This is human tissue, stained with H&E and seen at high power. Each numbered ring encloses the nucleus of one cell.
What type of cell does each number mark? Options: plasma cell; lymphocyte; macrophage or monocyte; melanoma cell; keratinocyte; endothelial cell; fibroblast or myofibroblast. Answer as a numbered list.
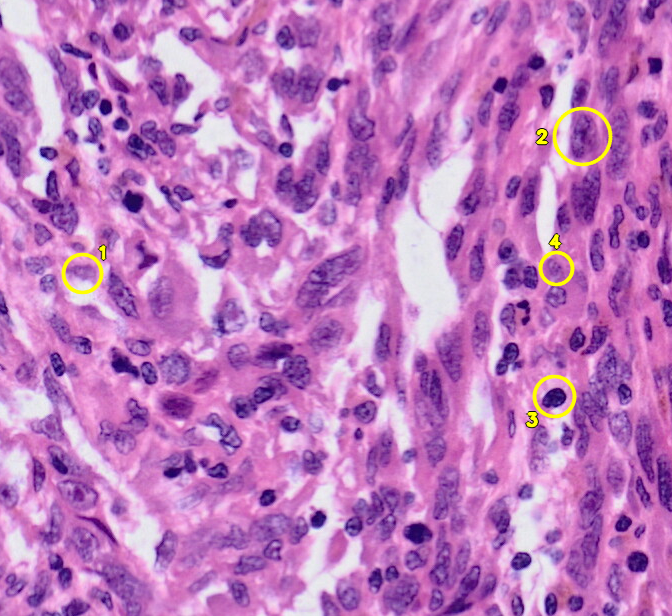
1. melanoma cell
2. melanoma cell
3. lymphocyte
4. melanoma cell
